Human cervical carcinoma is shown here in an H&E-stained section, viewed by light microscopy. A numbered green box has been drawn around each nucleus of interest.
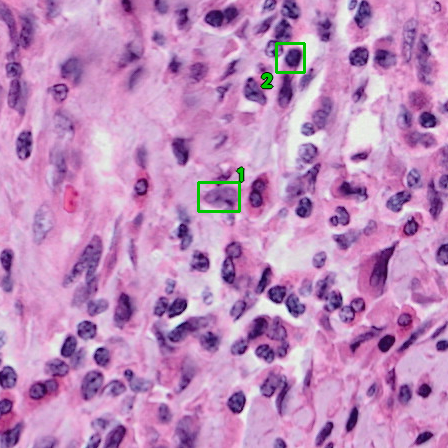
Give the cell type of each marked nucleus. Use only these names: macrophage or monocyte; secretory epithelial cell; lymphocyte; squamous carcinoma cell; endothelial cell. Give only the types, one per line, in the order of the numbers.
macrophage or monocyte
lymphocyte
